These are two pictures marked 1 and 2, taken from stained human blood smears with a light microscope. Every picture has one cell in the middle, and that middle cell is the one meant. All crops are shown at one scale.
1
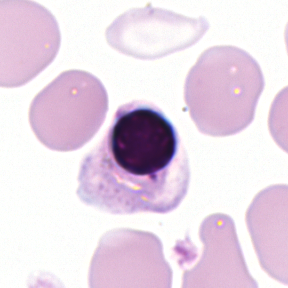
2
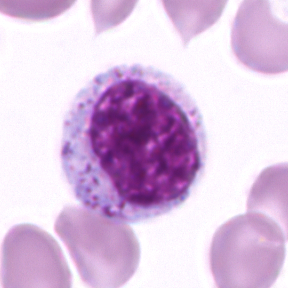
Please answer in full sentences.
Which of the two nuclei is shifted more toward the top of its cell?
Seen within its cell, the nucleus in crop 1 lies further toward the top.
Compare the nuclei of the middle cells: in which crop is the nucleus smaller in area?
Smaller is the nucleus in crop 1, and the other is about 3 times as large in area.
